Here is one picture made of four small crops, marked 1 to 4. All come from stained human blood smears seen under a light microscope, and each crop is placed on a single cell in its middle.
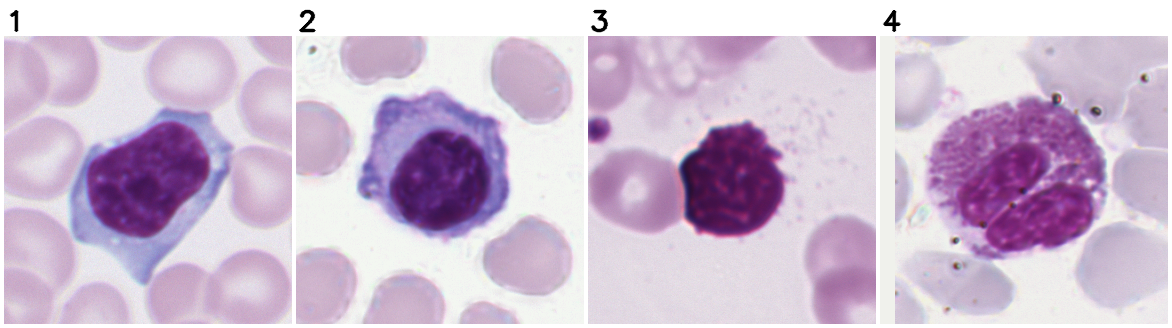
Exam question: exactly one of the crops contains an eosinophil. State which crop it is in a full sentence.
Crop 4 is the crop that shows an eosinophil in its middle.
